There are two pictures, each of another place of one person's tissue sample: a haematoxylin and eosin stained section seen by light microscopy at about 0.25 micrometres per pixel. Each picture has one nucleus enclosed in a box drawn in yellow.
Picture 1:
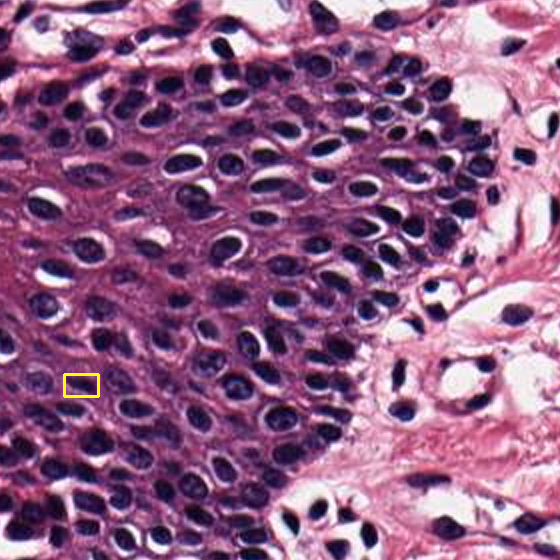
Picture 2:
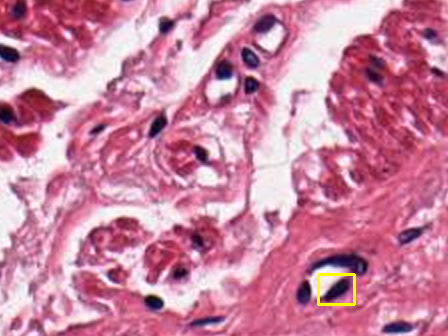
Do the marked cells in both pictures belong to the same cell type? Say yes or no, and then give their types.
No, the first is a squamous epithelial cell and the second an endothelial cell.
